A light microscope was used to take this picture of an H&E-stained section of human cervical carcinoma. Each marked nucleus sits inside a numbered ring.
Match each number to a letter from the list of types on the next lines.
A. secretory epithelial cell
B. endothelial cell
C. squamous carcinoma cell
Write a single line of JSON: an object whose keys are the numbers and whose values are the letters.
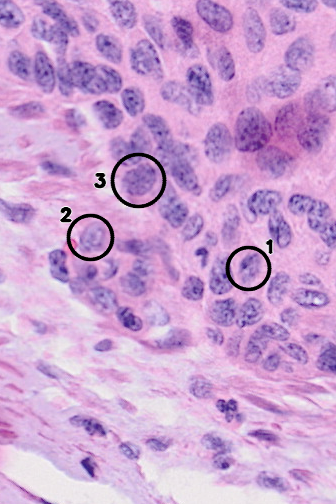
{"1": "C", "2": "B", "3": "C"}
